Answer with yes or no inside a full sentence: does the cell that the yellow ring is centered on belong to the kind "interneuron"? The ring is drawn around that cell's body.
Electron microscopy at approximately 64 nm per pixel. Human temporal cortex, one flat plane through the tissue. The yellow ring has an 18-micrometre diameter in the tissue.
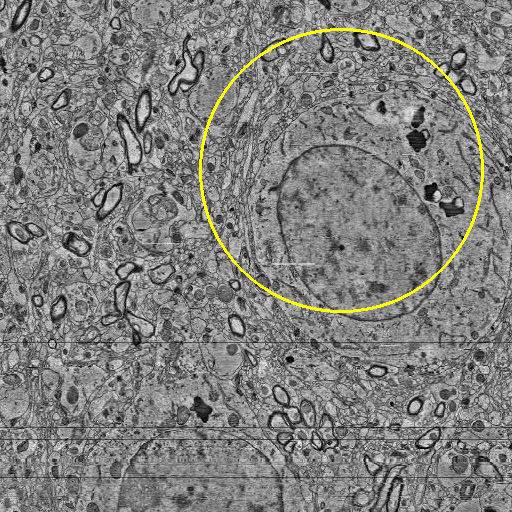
No, another kind describes the cell the yellow ring is centered on in the picture.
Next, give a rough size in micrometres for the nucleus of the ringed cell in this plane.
In this plane the nucleus spans approximately 13 by 10 micrometers.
